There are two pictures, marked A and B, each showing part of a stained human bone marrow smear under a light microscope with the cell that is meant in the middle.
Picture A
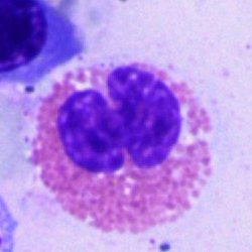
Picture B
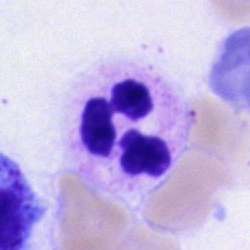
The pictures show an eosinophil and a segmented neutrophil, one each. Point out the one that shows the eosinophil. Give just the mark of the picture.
A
